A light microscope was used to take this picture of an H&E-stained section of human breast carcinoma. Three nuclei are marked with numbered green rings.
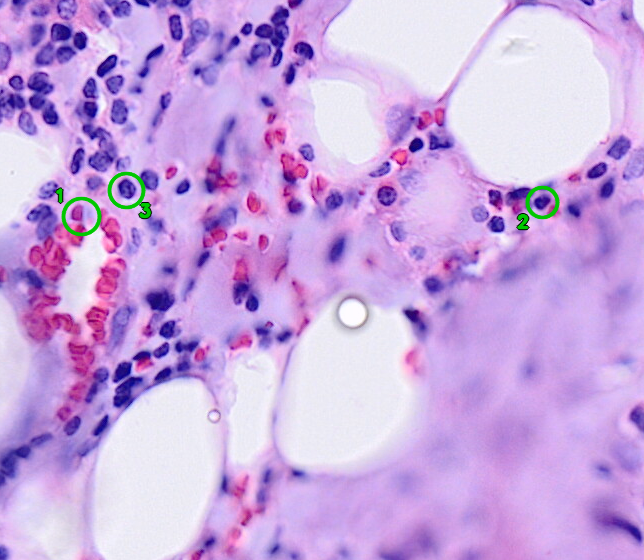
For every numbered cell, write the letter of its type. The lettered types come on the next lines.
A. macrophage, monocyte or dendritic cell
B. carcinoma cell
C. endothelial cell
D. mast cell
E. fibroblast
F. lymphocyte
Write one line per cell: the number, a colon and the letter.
1: C
2: F
3: F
